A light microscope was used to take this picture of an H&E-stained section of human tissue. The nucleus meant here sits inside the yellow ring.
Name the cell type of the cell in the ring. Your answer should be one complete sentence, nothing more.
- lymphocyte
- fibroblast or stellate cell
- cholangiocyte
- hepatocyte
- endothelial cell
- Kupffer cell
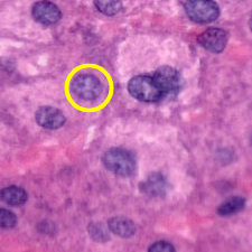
As to its cell type, the cell in the ring is a hepatocyte.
